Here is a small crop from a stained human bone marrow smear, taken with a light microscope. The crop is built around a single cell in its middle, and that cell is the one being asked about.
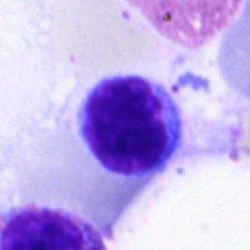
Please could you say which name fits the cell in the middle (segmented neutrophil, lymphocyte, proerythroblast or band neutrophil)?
lymphocyte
